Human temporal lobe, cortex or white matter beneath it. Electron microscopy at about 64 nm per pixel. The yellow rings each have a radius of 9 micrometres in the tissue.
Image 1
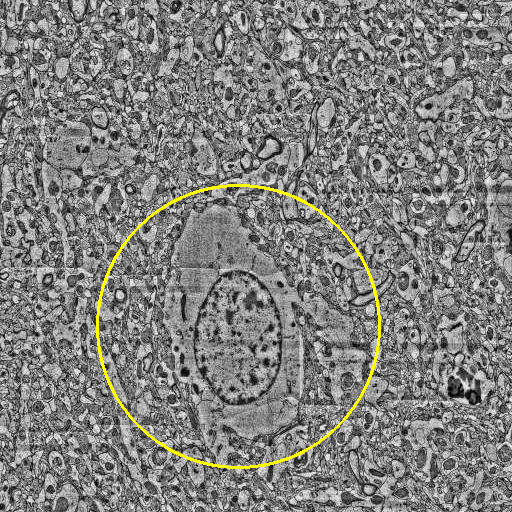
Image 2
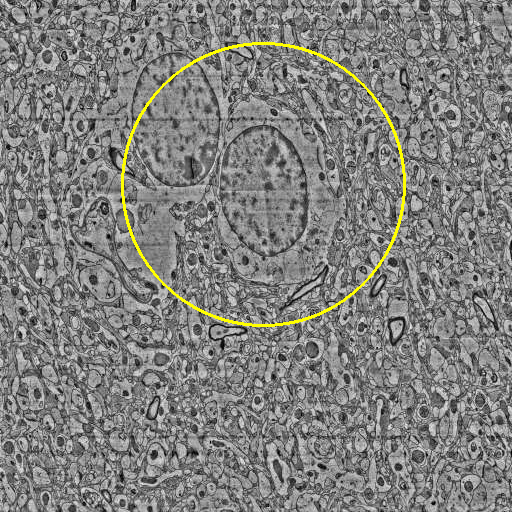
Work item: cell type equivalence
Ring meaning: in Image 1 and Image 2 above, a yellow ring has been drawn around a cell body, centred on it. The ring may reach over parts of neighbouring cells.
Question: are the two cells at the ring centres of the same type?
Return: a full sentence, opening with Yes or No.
Yes, the two centred cells are of the same type.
